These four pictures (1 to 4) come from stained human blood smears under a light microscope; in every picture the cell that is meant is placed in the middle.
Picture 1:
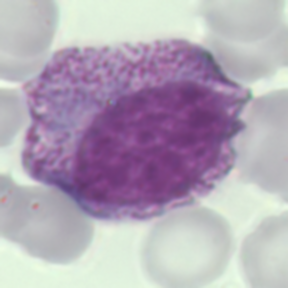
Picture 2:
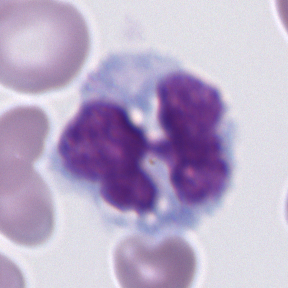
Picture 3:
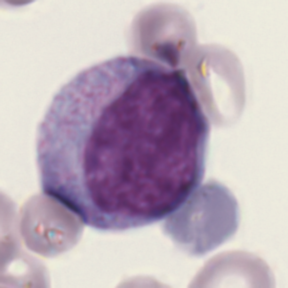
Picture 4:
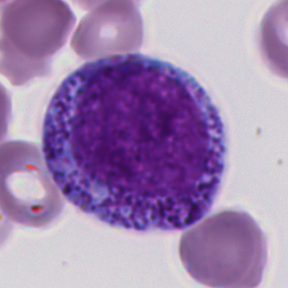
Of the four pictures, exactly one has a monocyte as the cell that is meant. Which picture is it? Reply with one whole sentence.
Picture 2 is the one that shows the monocyte.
